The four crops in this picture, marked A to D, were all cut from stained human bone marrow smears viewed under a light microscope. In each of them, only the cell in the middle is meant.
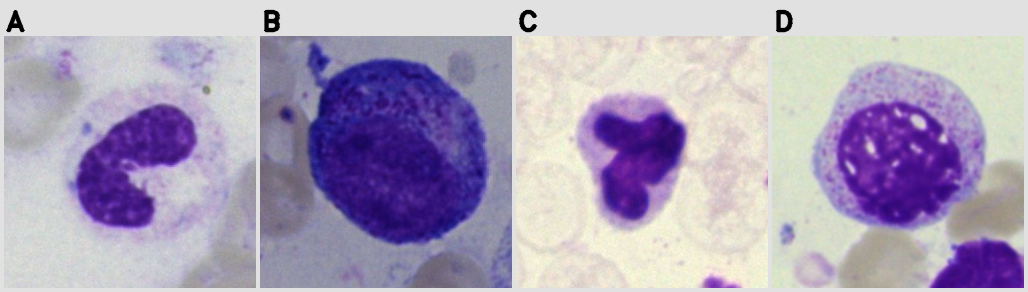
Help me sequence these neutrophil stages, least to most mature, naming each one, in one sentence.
The maturity ranking, beginning with the least mature, is crop B (a promyelocyte), crop D (a myelocyte), crop A (a band neutrophil) and crop C (a segmented neutrophil).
